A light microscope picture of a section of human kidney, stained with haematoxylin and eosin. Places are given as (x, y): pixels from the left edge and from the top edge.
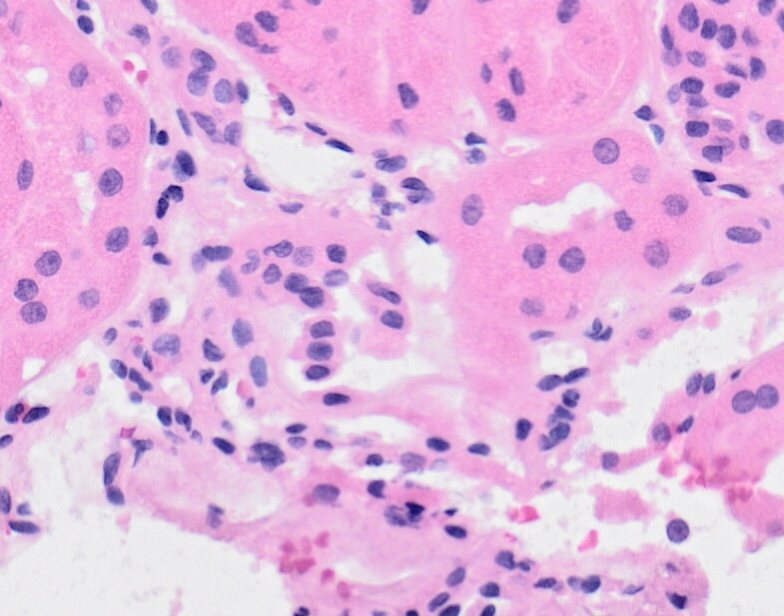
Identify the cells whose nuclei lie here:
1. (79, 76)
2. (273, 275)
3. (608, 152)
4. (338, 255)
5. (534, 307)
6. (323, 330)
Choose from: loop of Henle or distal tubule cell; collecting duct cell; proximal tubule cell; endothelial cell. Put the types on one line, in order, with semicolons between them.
proximal tubule cell; collecting duct cell; proximal tubule cell; collecting duct cell; proximal tubule cell; collecting duct cell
